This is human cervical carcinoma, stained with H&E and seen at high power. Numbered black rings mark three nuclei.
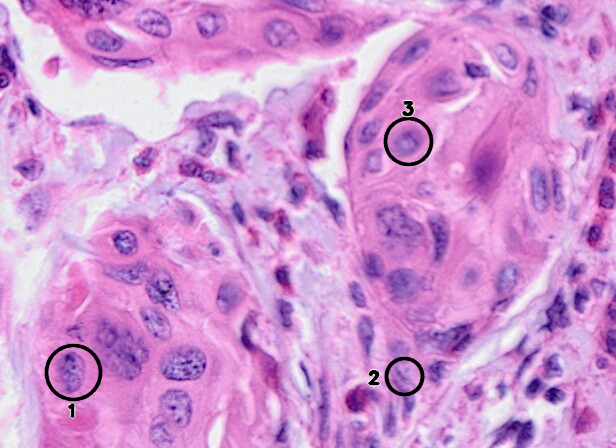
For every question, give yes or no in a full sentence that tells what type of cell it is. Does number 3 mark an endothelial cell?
No, the cell denoted 3 is a squamous carcinoma cell rather than an endothelial cell.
